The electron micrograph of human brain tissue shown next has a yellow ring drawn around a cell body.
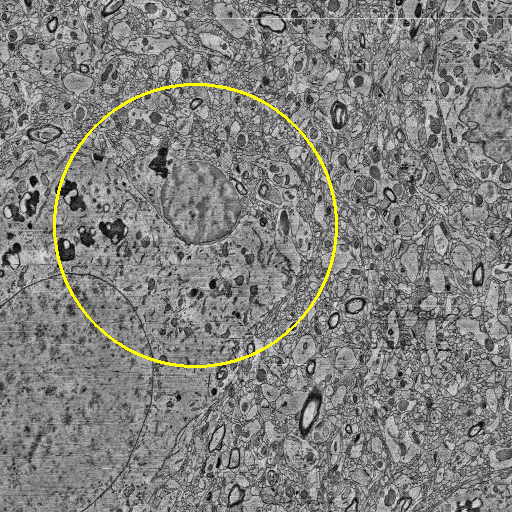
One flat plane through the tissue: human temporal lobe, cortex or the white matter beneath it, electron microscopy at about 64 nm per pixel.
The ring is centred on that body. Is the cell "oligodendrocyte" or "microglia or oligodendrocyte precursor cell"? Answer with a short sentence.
The cell in question is an oligodendrocyte.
